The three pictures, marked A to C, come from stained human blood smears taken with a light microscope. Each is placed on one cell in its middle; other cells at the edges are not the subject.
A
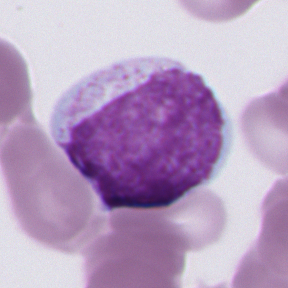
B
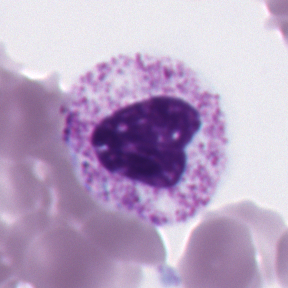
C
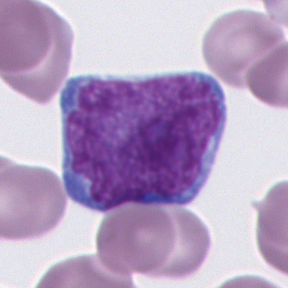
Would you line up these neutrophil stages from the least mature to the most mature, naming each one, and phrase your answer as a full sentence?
Least to most mature, the crops are crop C (a myeloblast), crop A (a myelocyte) and crop B (a segmented neutrophil).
